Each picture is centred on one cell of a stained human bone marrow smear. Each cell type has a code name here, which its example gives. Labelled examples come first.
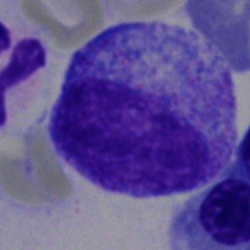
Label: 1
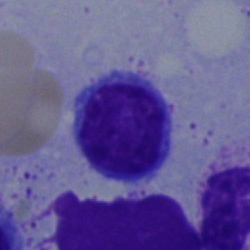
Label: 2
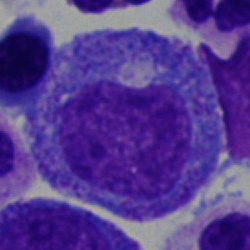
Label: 1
